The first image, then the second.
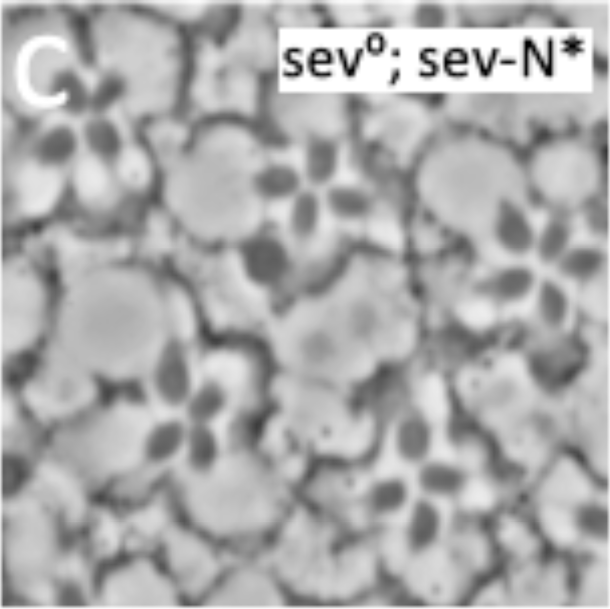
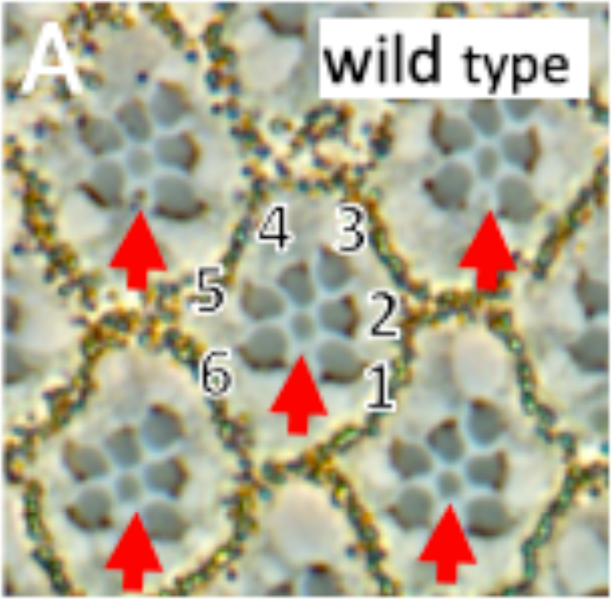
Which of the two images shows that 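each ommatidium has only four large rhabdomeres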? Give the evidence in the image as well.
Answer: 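First image: ommatidia show about four dark rhabdomeres and no small central one. Second image: ommatidia show six large rhabdomeres around a small central one. On this evidence: the first image.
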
